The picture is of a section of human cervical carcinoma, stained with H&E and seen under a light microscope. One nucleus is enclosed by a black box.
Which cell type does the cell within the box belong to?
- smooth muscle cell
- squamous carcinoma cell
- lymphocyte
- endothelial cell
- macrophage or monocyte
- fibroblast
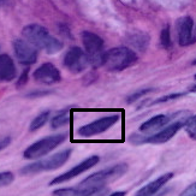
fibroblast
